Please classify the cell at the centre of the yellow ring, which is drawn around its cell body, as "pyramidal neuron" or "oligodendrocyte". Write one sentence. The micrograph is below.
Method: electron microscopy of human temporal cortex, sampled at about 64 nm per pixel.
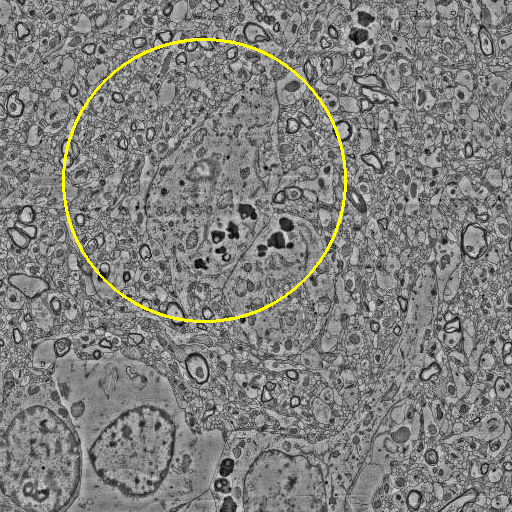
The cell at the ring's centre is classified as a pyramidal neuron.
